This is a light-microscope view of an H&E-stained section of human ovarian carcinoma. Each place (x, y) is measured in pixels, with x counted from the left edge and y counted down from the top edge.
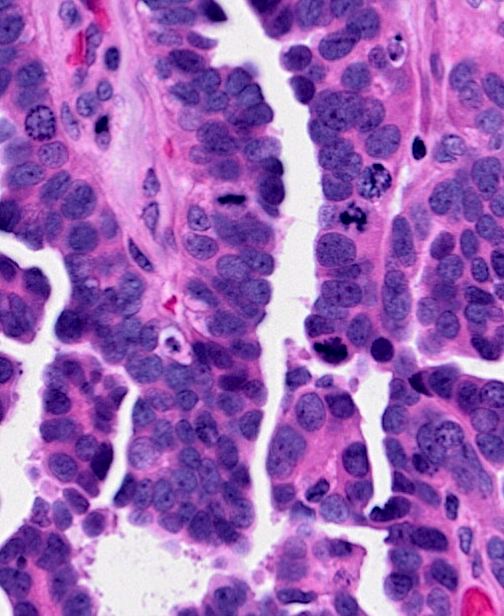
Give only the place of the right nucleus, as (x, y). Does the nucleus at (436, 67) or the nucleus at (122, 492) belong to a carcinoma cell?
(122, 492)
